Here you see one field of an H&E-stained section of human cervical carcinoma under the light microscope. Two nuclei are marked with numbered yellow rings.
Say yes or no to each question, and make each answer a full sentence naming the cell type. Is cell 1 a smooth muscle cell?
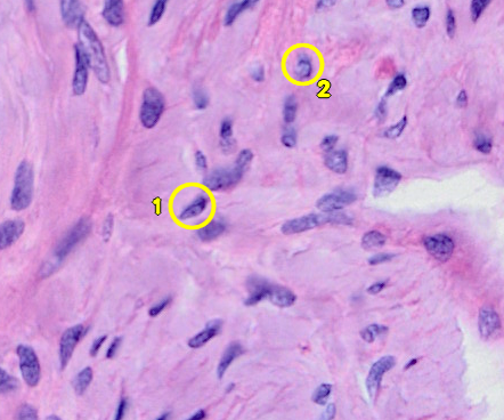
No, as for cell 1, it is a fibroblast and not a smooth muscle cell.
